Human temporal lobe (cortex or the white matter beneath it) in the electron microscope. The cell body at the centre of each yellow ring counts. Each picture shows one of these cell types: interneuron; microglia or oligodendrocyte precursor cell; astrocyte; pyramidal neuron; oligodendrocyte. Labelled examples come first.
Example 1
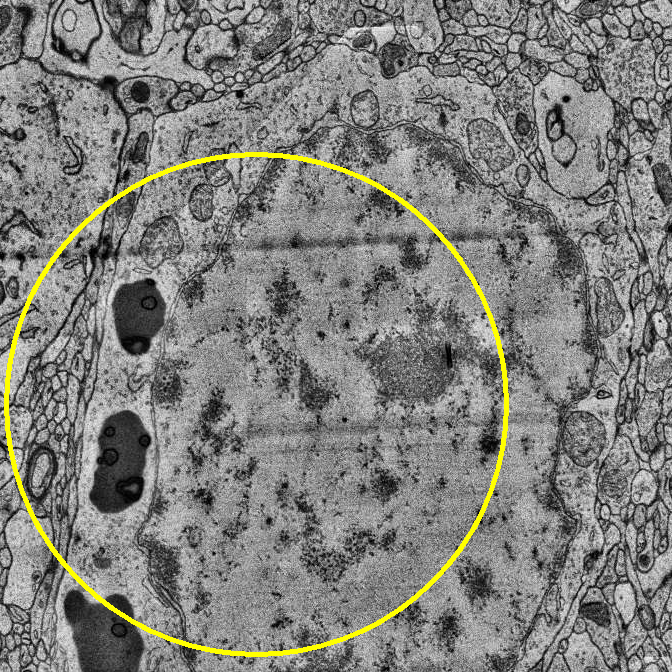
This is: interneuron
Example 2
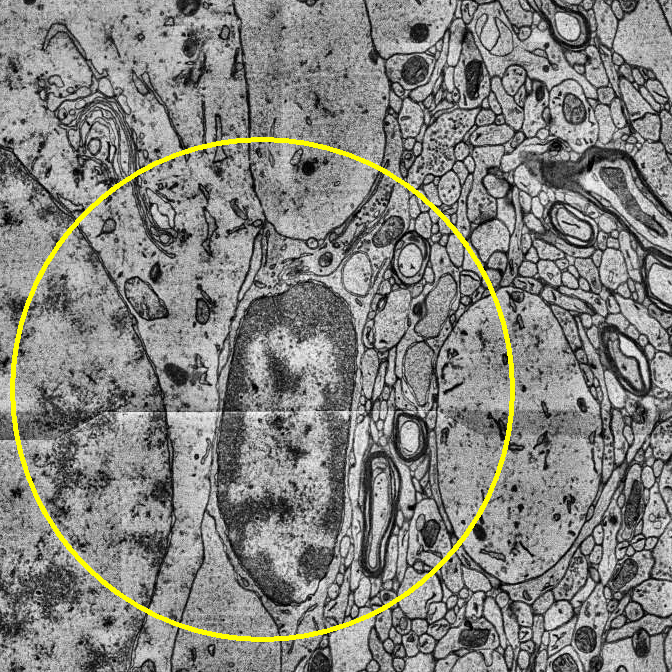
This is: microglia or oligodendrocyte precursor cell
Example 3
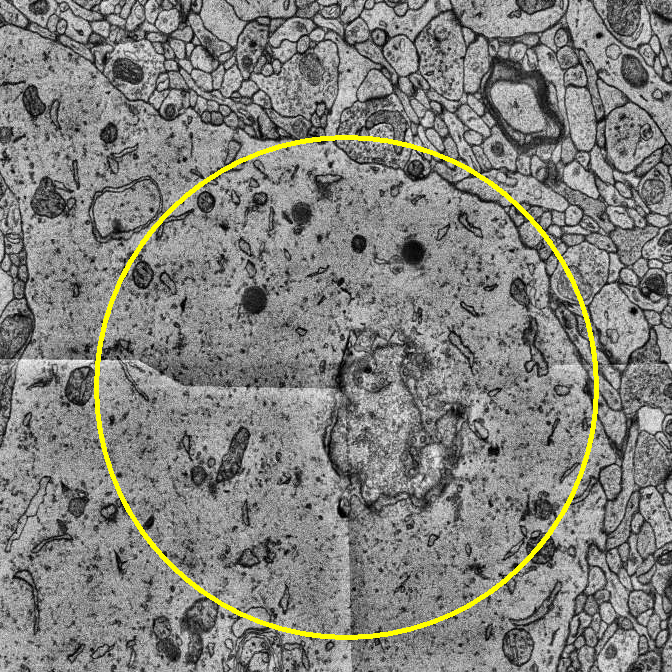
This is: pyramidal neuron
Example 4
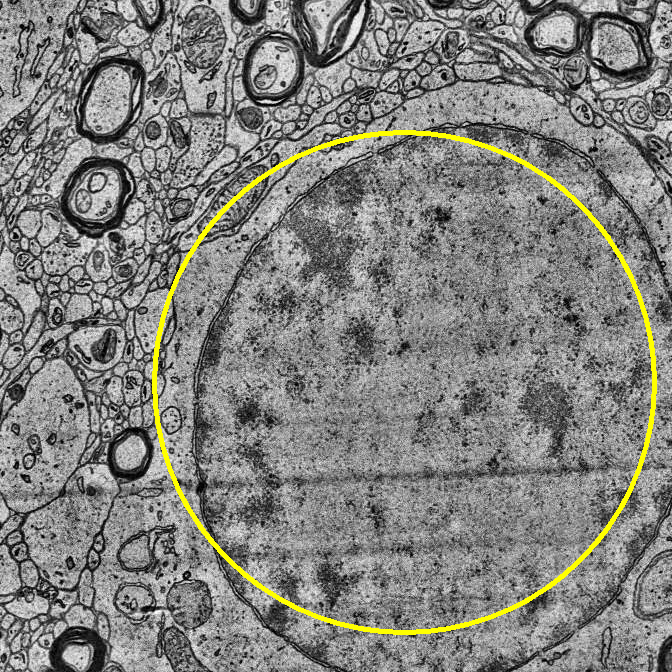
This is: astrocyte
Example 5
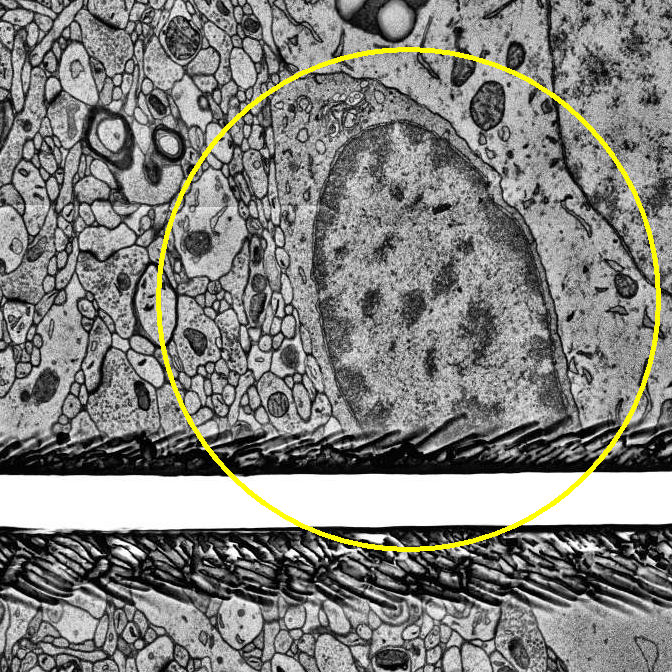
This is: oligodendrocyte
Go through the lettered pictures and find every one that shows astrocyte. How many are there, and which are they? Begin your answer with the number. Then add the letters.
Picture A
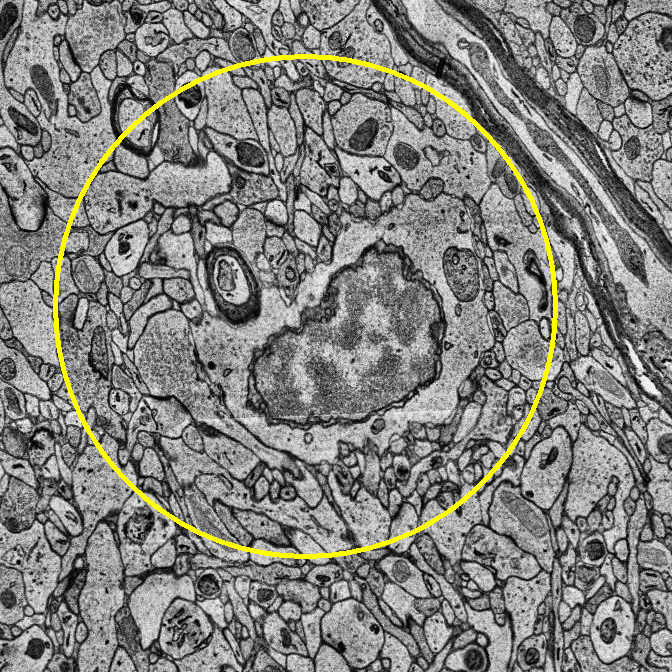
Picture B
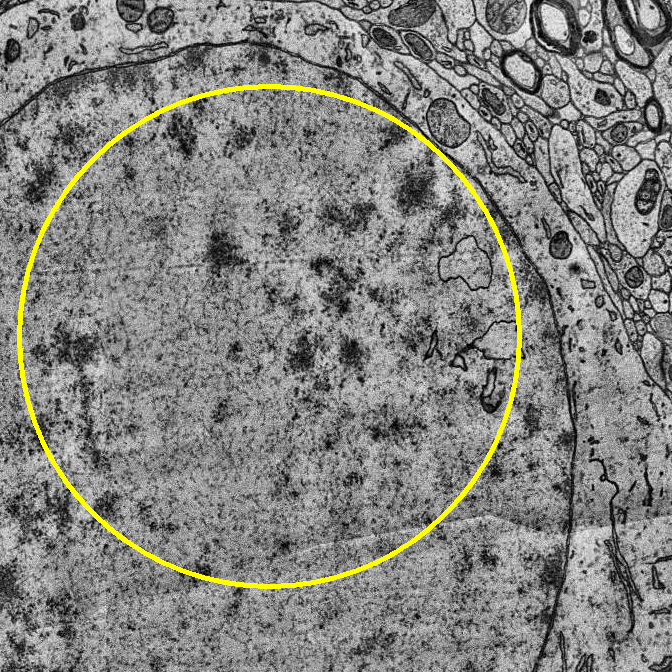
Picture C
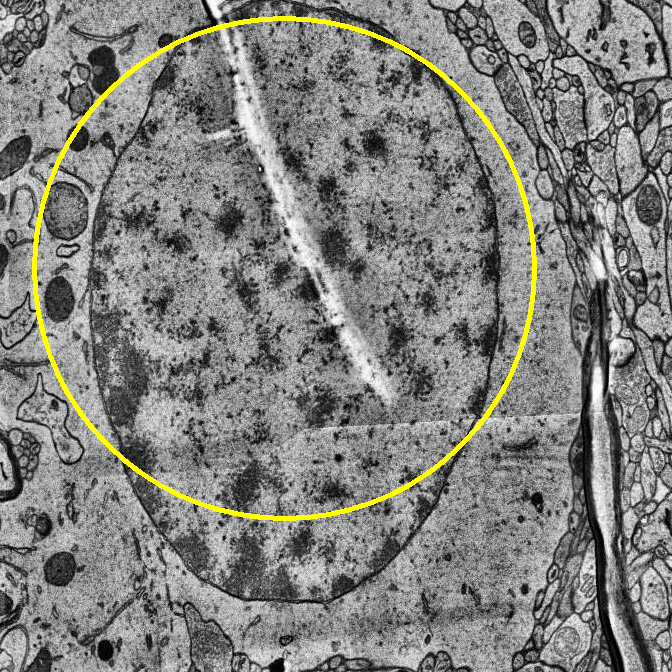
1, namely C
